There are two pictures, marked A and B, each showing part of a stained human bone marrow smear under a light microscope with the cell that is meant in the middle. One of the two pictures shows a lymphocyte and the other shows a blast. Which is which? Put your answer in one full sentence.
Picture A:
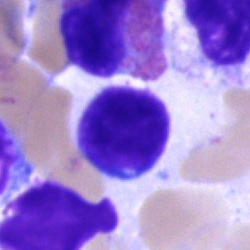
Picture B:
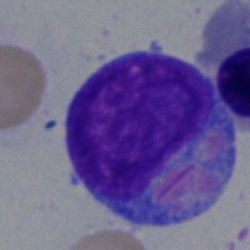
In picture A the cell is a lymphocyte; in picture B, a blast.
